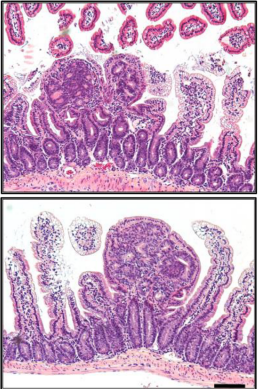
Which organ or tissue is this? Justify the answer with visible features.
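Small intestine. Tall finger-like villi line the mucosal surface. Mucosa rests on a thin pink muscular wall at the base.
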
